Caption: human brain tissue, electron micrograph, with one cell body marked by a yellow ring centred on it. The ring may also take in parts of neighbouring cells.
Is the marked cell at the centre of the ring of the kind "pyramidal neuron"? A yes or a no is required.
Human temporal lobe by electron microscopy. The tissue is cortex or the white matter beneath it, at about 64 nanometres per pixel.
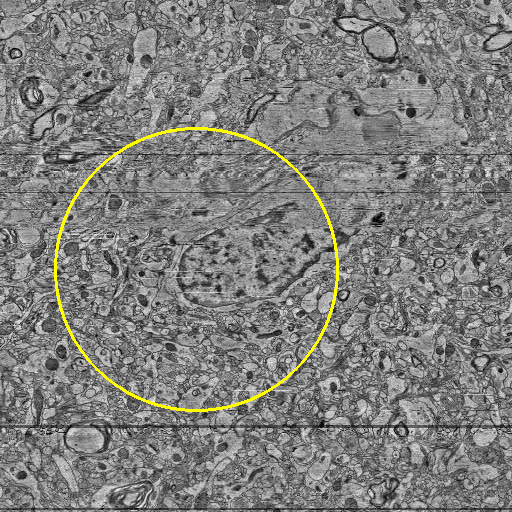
no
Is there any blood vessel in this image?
Yes, a vessel shows somewhere in the image.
